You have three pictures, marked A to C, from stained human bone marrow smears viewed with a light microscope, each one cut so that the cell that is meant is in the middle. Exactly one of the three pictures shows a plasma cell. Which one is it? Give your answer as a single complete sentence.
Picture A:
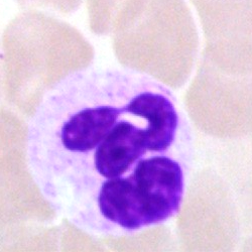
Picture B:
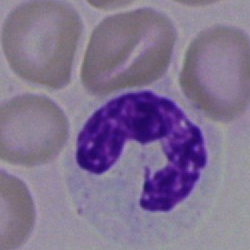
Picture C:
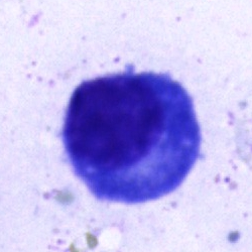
Picture C shows the plasma cell.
